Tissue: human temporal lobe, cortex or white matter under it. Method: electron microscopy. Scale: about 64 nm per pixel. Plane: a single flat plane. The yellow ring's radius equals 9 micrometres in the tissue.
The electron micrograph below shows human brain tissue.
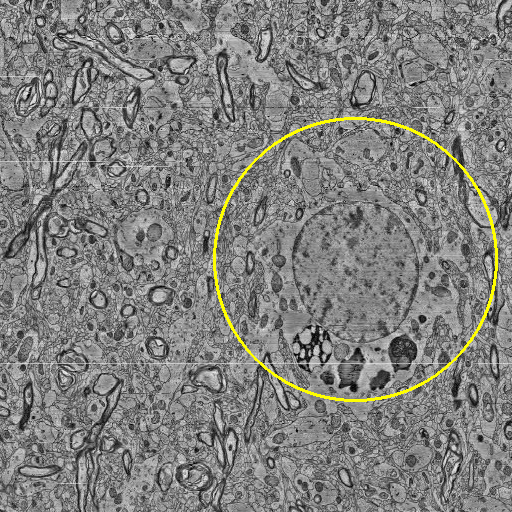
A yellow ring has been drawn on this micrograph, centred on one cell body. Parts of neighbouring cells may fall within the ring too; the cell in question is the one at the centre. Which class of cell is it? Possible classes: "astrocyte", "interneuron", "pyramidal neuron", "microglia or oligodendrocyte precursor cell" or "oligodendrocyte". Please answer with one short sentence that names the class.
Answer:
In the centre of the ring sits an astrocyte.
